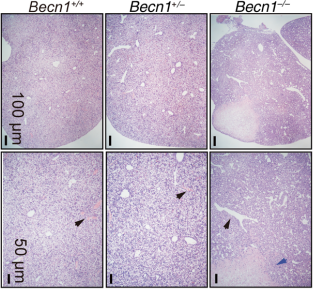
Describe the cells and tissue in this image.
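At low power the organ is a solid, densely cellular parenchyma. It is crowded with small purple nuclei set in pink cytoplasm, and pale branching spaces that are blood vessels run through it. At higher power the tissue is a packed sheet of cells with round, dark nuclei.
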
